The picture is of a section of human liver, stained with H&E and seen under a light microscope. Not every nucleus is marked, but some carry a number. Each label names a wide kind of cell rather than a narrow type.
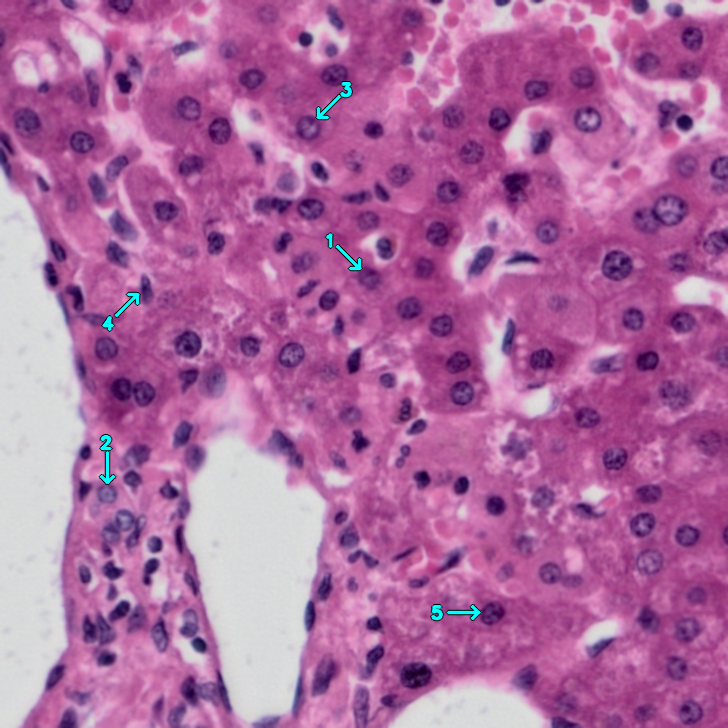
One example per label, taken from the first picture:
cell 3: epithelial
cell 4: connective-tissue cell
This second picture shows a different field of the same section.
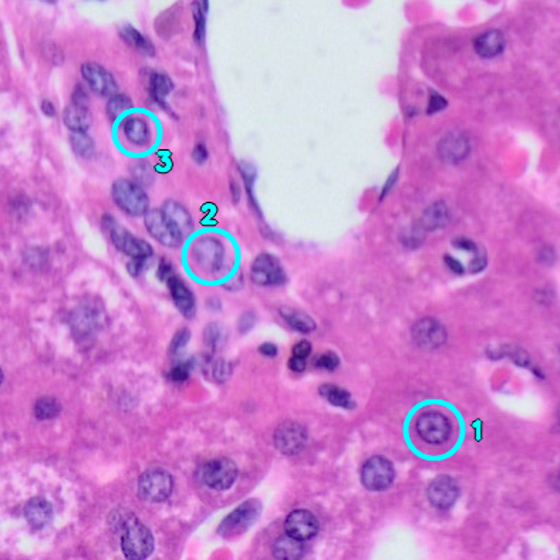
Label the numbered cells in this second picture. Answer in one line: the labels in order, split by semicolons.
epithelial; epithelial; epithelial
